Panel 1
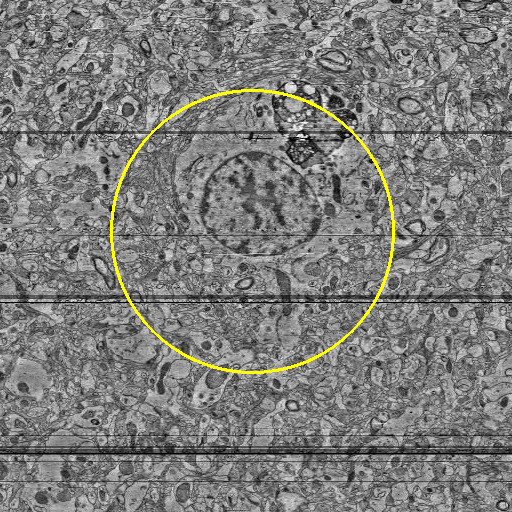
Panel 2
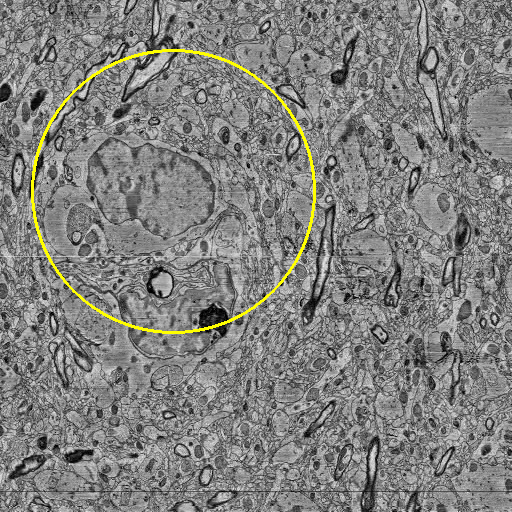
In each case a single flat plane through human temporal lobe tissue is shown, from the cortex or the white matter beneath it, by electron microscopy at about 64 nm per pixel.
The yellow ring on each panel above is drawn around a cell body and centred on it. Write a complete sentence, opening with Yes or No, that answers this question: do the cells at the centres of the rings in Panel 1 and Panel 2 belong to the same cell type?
No, the two cells belong to two cell types.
